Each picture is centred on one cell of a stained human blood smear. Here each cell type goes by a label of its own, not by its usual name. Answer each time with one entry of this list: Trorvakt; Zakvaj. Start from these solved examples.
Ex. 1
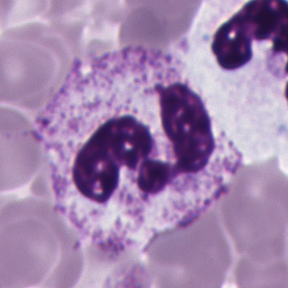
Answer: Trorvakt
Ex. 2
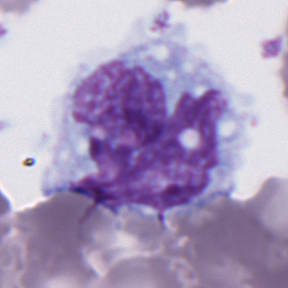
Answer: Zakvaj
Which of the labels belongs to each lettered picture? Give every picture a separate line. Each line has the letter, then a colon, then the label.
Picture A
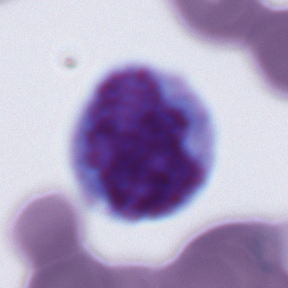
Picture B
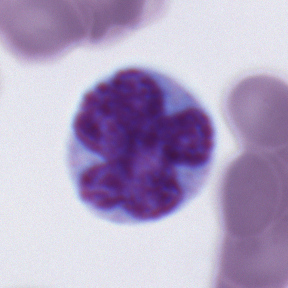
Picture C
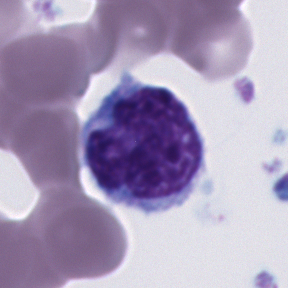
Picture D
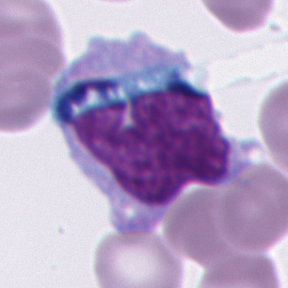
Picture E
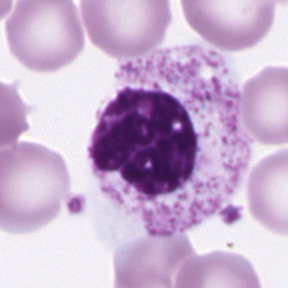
A: Zakvaj
B: Zakvaj
C: Zakvaj
D: Zakvaj
E: Trorvakt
